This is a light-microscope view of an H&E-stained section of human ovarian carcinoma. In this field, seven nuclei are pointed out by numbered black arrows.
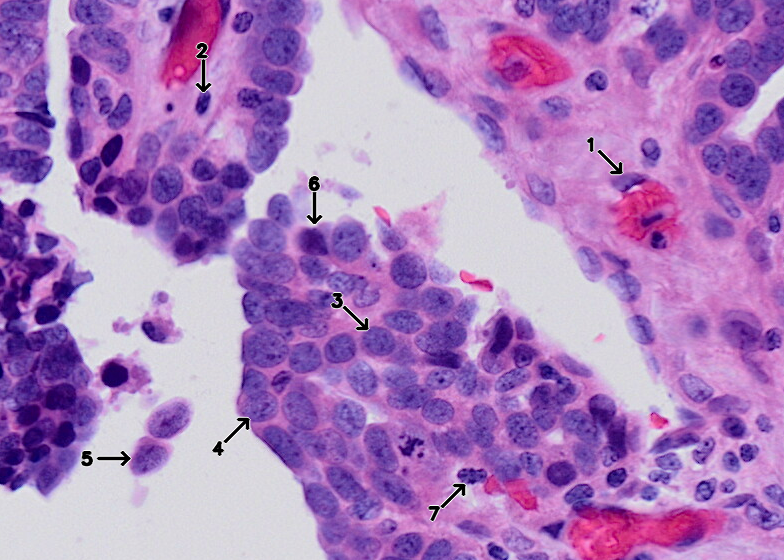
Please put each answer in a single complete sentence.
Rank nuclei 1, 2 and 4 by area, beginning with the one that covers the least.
The order from the smallest nucleus to the largest is 2, 1, 4.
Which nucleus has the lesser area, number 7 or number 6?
Number 7 is smaller, since number 6 takes up about 2 times as much area.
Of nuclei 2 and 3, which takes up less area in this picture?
Nucleus 2 covers less area, with nucleus 3 about 3 times as large.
